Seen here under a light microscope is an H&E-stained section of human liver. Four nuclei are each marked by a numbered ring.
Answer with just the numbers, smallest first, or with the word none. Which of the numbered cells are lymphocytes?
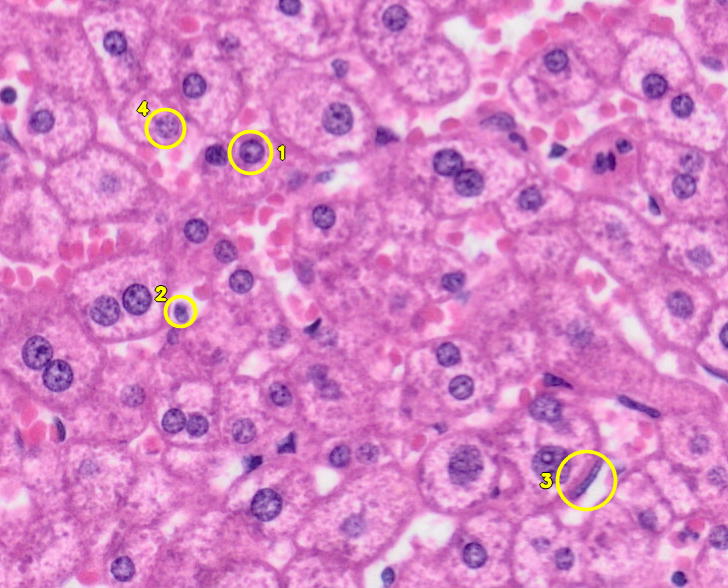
2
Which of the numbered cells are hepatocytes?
1, 4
